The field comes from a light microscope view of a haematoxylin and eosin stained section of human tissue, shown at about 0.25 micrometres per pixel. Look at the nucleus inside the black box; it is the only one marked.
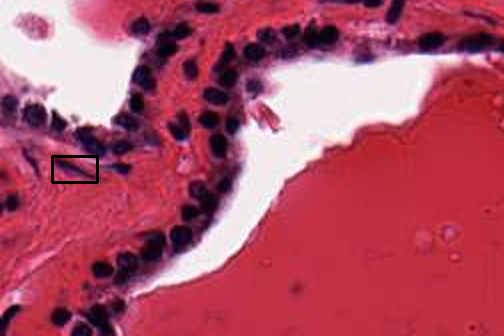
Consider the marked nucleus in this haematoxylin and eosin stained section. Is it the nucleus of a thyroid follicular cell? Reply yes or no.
no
